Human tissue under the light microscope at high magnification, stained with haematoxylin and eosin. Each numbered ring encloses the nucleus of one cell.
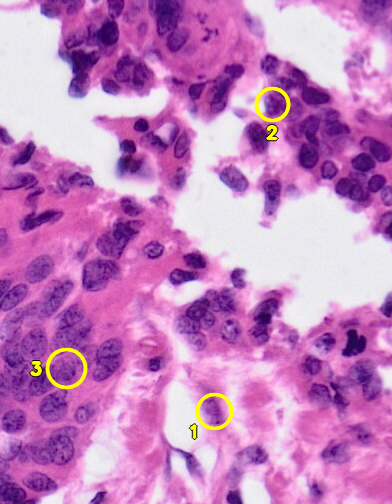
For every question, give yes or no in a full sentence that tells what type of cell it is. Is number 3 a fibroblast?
No, the cell marked 3 is a carcinoma cell rather than a fibroblast.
